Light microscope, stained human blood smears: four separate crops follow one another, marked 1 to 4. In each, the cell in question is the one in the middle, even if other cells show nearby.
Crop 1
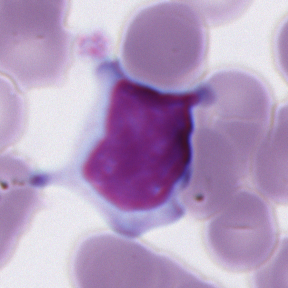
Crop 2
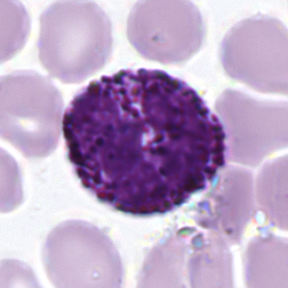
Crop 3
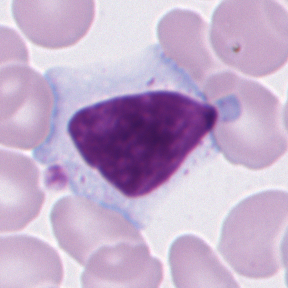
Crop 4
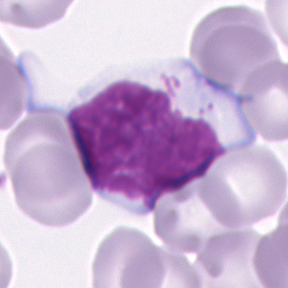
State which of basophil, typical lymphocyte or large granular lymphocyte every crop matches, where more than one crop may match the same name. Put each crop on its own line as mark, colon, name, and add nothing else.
1: typical lymphocyte
2: basophil
3: large granular lymphocyte
4: large granular lymphocyte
